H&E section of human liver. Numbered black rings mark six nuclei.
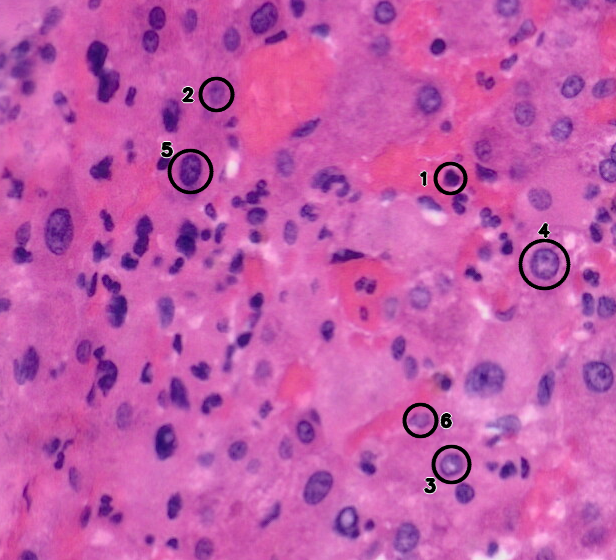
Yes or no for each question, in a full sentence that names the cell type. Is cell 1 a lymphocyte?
Yes, in this section the cell numbered 1 is a lymphocyte.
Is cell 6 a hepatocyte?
No, the cell given number 6 is a Kupffer cell, as opposed to a hepatocyte.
